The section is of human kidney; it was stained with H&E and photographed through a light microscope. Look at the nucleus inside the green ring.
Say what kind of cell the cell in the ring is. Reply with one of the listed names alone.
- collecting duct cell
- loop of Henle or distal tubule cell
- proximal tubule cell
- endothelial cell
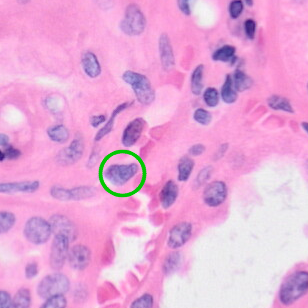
endothelial cell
